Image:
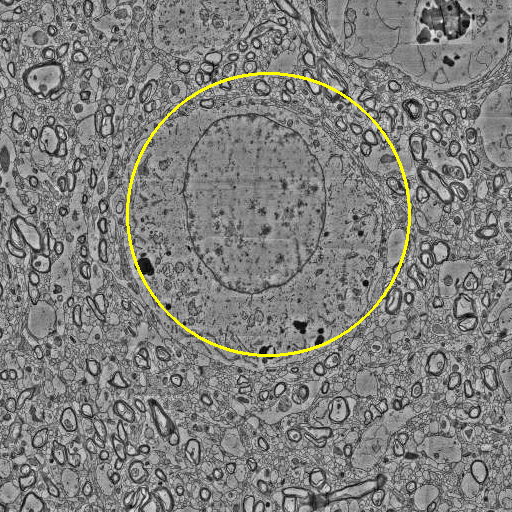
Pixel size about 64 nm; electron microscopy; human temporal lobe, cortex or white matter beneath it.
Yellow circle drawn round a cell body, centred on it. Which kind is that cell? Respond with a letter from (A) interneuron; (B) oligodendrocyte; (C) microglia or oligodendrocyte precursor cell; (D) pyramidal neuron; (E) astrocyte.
D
